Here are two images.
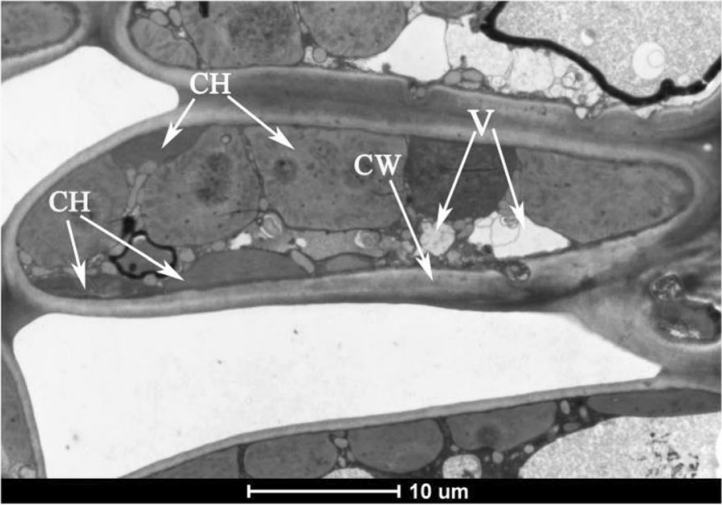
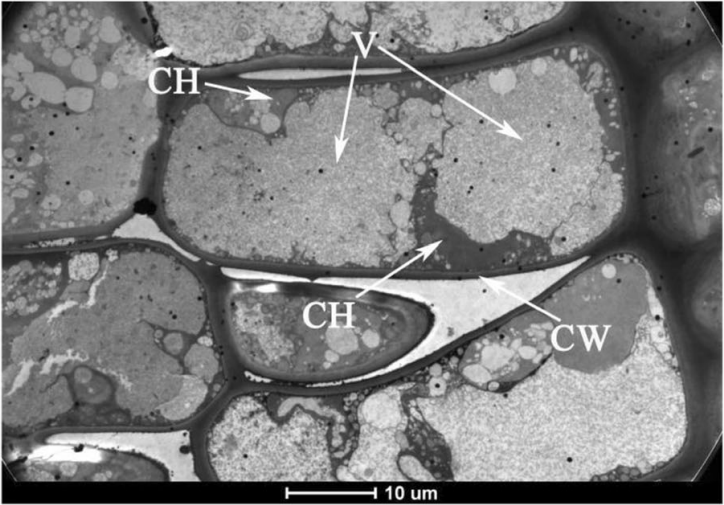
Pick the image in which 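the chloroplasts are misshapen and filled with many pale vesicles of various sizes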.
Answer: The second image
